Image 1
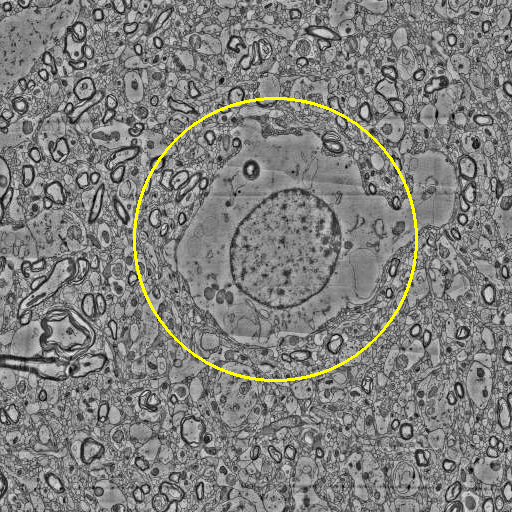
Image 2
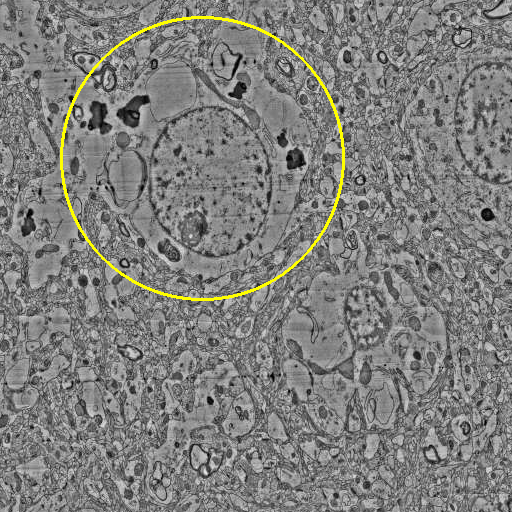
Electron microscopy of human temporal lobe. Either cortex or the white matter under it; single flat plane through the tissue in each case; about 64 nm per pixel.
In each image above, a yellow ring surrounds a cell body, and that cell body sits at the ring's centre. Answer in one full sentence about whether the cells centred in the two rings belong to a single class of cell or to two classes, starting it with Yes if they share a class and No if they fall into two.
Yes, the cells centred in the two yellow rings belong to a single class of cell.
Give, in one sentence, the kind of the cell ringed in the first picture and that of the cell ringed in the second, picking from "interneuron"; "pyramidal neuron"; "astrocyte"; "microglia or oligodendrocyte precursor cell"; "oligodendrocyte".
Each of the ringed cells, first and second, is an astrocyte.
